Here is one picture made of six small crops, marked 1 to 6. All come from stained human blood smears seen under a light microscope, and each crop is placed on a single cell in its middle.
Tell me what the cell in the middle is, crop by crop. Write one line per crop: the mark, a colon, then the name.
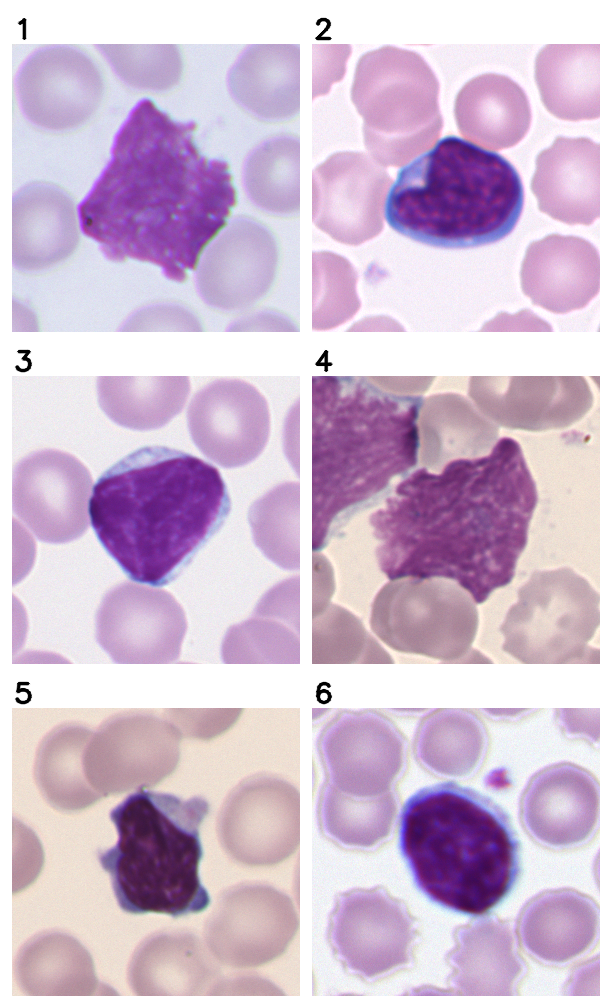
1: smudge cell
2: typical lymphocyte
3: typical lymphocyte
4: smudge cell
5: typical lymphocyte
6: typical lymphocyte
